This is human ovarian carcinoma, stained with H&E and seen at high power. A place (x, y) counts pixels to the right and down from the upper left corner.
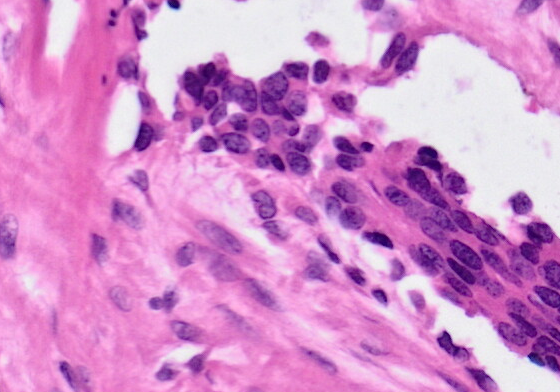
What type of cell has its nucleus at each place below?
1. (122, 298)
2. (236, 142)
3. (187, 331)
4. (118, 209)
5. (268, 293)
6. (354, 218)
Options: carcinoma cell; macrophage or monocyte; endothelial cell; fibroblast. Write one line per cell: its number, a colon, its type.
1: fibroblast
2: carcinoma cell
3: fibroblast
4: fibroblast
5: fibroblast
6: carcinoma cell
